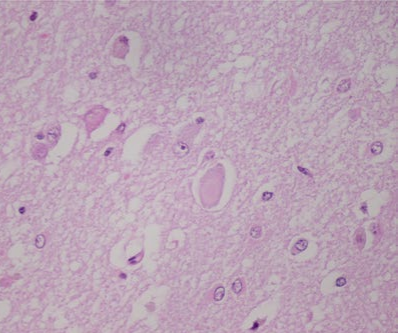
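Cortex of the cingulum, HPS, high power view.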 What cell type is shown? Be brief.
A: ballooned neuron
